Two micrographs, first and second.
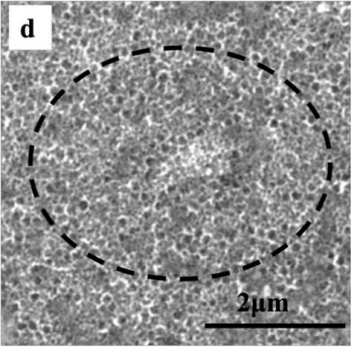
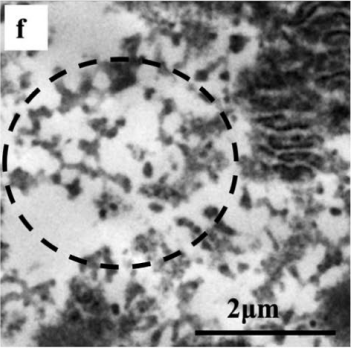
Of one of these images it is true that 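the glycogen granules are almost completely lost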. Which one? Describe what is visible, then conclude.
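The second image. Second image: the dashed oval encloses a mostly pale, empty area with only scattered dark clumps. First image: the dashed oval is packed with small dark granules.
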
